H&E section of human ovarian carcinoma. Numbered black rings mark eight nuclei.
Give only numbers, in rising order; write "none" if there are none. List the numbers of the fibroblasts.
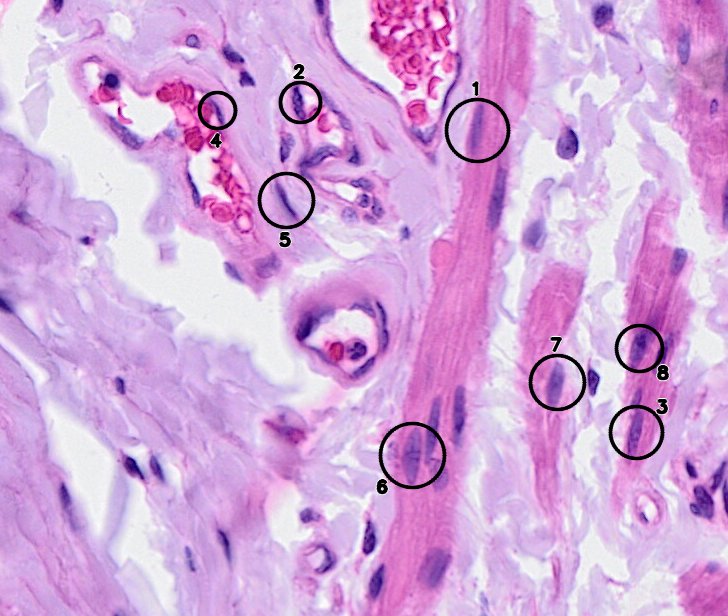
5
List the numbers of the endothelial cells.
2, 4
